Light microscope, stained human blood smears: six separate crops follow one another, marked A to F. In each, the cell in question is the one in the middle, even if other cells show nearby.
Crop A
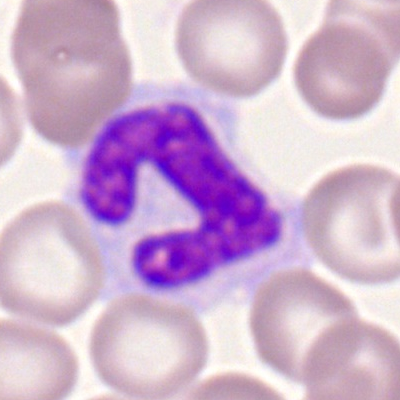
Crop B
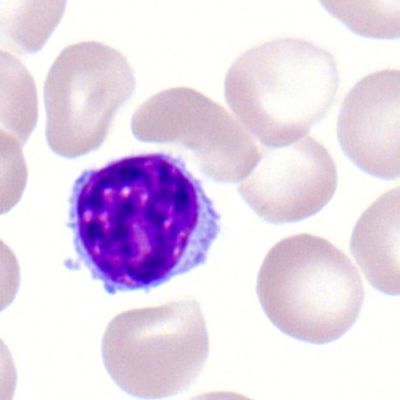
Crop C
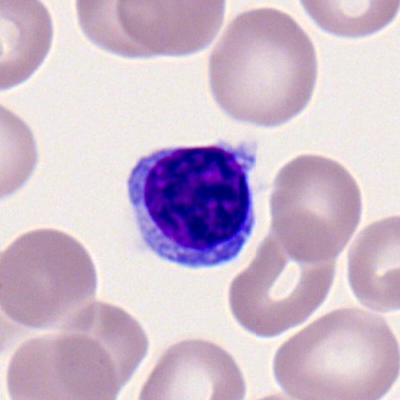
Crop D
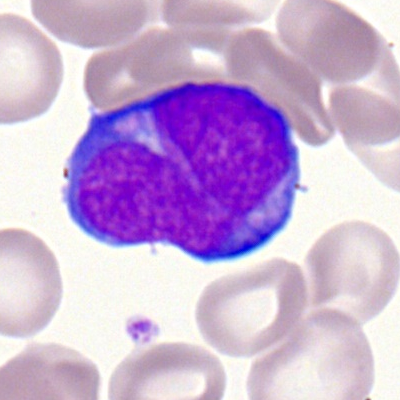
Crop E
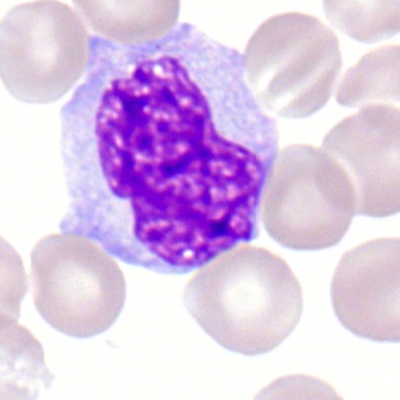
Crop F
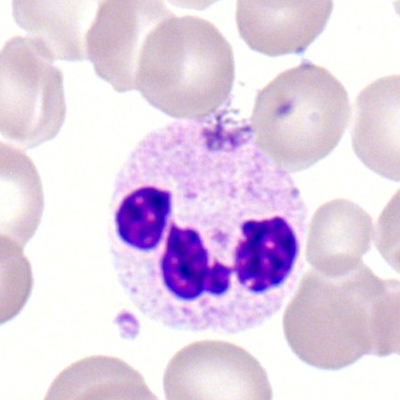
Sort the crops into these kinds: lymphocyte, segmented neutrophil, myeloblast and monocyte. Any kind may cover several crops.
A: monocyte
B: lymphocyte
C: lymphocyte
D: myeloblast
E: monocyte
F: segmented neutrophil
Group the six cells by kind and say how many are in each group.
monocyte: 2
lymphocyte: 2
myeloblast: 1
segmented neutrophil: 1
